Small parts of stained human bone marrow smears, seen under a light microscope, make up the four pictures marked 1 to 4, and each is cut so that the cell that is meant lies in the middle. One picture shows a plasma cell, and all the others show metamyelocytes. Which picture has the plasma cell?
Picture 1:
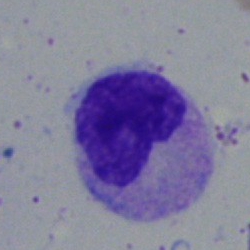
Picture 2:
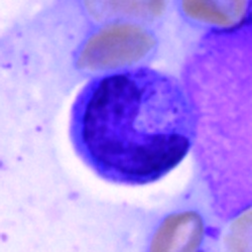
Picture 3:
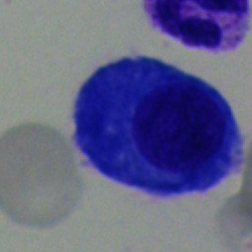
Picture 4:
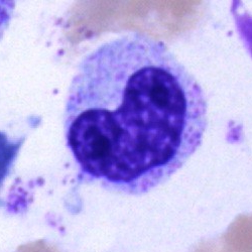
3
